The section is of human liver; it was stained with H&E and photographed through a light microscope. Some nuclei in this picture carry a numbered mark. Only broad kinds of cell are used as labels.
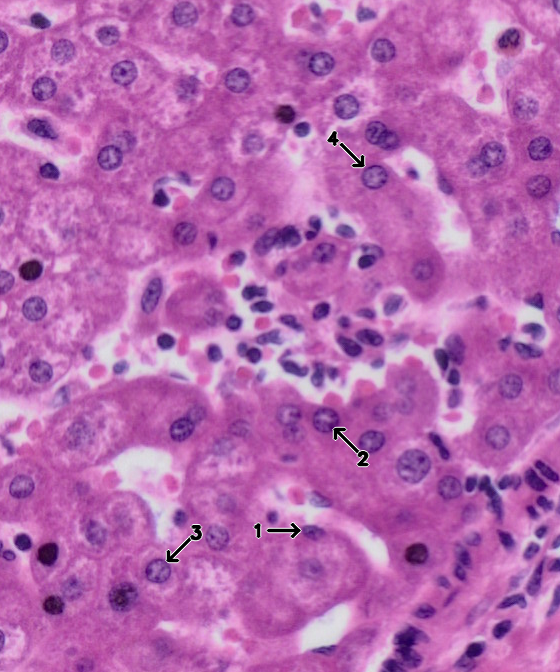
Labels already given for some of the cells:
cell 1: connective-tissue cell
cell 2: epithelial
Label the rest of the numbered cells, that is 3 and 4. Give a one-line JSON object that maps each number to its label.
{"3": "epithelial", "4": "epithelial"}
